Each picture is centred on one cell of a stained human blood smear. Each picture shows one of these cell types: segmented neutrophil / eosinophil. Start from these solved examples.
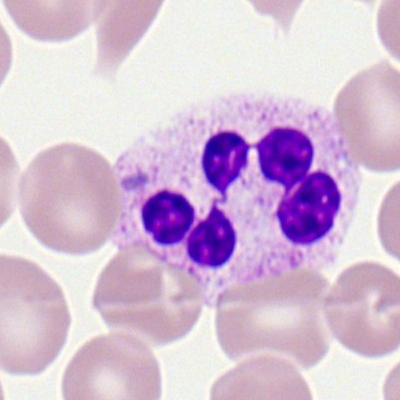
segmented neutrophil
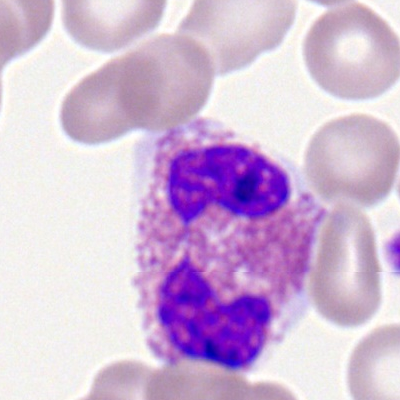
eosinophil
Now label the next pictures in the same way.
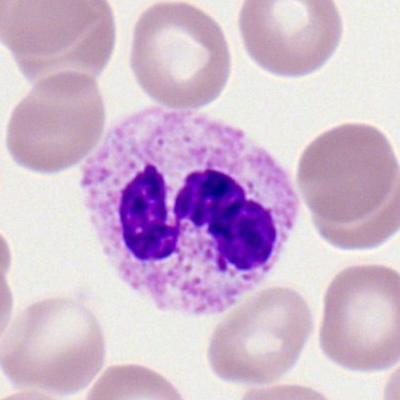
segmented neutrophil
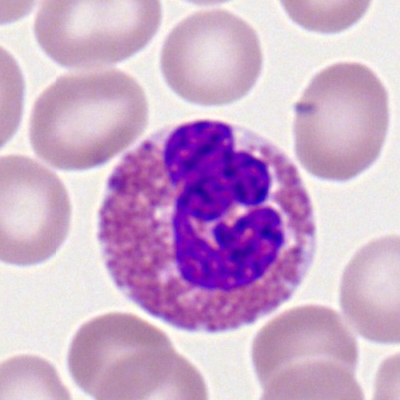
eosinophil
